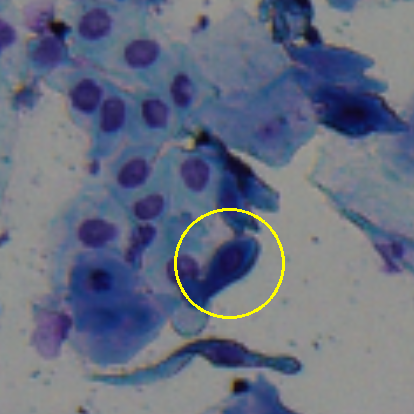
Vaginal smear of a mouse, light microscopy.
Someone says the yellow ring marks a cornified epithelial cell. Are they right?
They are not: the ring marks a nucleated epithelial cell.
